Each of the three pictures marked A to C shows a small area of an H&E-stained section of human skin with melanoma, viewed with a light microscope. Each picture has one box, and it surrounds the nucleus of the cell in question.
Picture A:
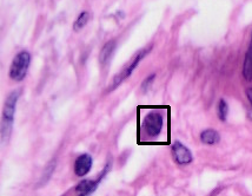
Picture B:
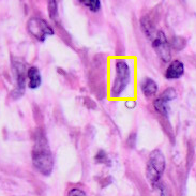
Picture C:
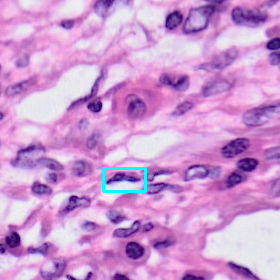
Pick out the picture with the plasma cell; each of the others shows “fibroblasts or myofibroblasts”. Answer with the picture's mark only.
A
